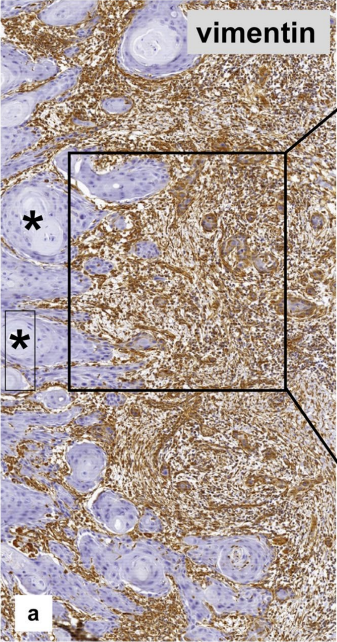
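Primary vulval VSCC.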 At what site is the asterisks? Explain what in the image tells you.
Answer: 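The asterisks lie on large squamous cell nests with keratin pearls. The cells of these nests are blue, without brown stain. The surrounding stroma is stained brown.
Answer: tumor center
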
